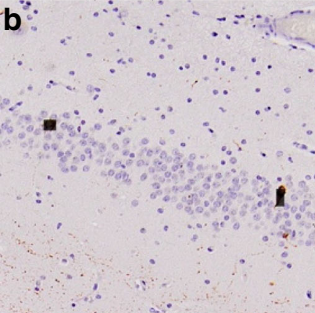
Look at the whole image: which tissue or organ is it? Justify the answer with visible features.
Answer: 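Granule cell layer of dentate gyrus. A diagonal band of densely packed small round blue nuclei crosses the field. Tissue on either side of the band holds only scattered nuclei.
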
